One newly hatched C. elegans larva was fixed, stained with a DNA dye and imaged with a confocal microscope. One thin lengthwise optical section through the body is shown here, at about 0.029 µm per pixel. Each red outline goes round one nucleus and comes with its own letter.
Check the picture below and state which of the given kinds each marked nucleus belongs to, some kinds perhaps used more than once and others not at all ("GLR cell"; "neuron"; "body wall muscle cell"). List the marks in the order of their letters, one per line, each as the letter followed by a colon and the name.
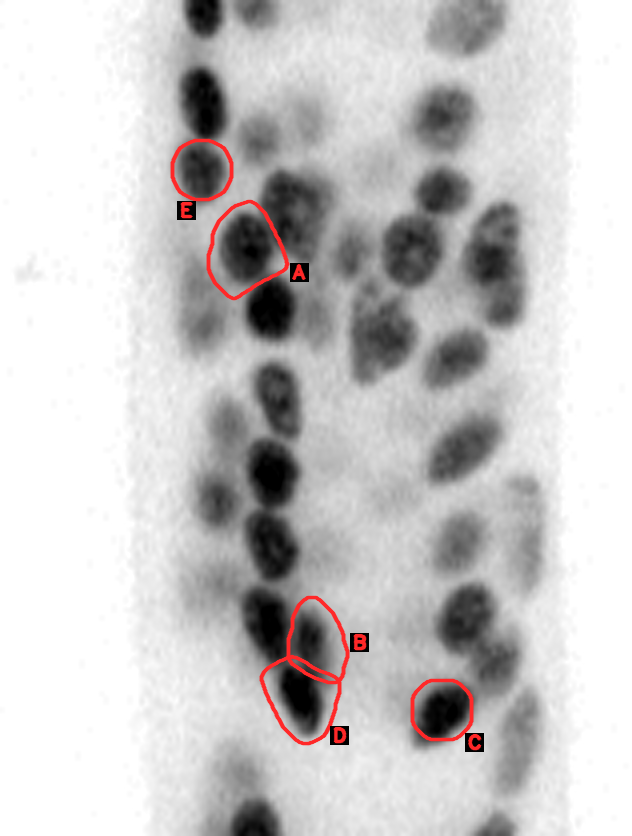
A: neuron
B: GLR cell
C: GLR cell
D: GLR cell
E: neuron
